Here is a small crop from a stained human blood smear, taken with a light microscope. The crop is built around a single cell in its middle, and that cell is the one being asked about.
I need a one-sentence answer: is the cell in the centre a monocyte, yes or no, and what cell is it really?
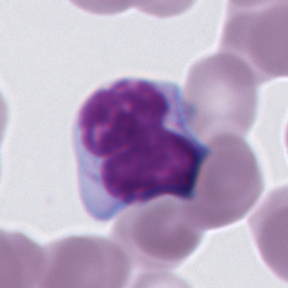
No, the cell at the center of this crop is a large granular lymphocyte instead of a monocyte.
